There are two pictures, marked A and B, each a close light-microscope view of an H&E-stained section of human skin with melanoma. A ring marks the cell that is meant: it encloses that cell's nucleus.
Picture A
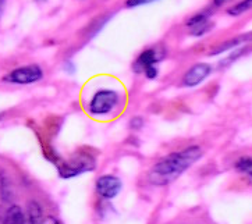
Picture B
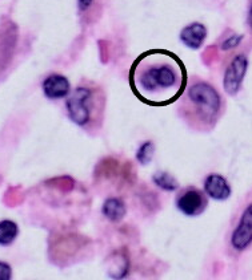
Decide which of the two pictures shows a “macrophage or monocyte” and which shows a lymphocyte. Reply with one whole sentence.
In picture A the cell is a lymphocyte; in picture B, a “macrophage or monocyte”.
